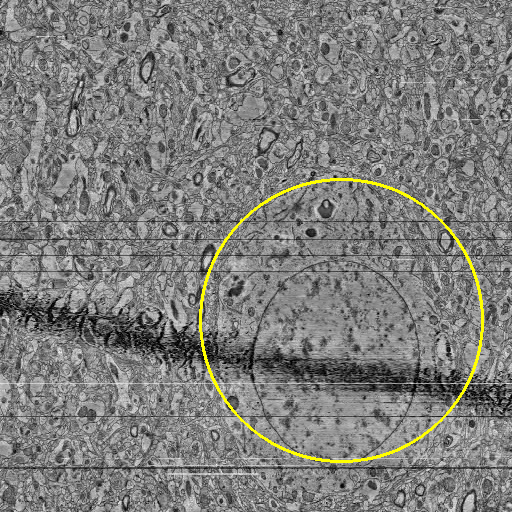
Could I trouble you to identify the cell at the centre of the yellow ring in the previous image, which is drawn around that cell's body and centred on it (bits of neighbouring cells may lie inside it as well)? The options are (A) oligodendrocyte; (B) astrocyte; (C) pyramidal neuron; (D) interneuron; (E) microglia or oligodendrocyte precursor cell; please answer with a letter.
C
